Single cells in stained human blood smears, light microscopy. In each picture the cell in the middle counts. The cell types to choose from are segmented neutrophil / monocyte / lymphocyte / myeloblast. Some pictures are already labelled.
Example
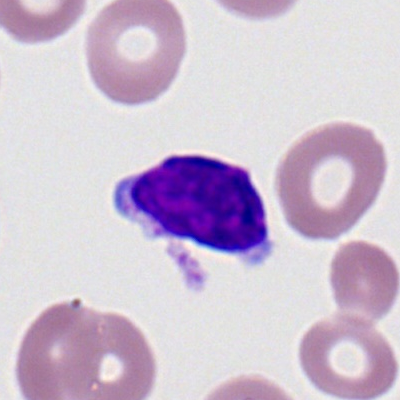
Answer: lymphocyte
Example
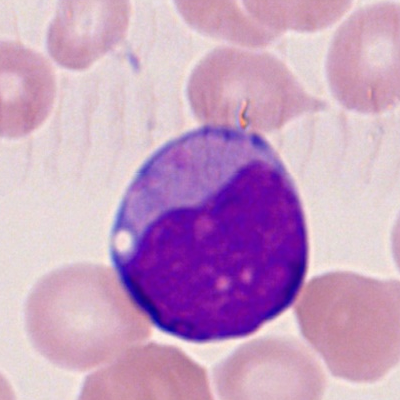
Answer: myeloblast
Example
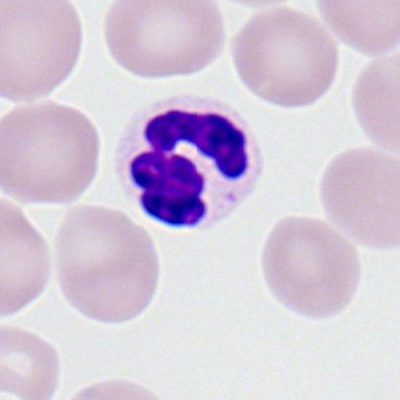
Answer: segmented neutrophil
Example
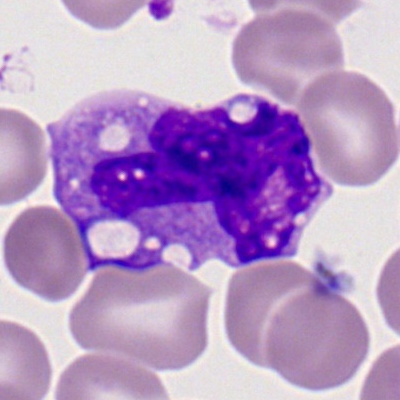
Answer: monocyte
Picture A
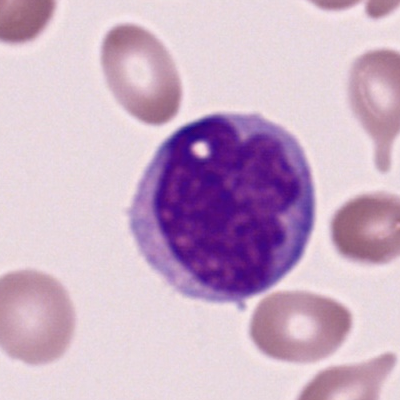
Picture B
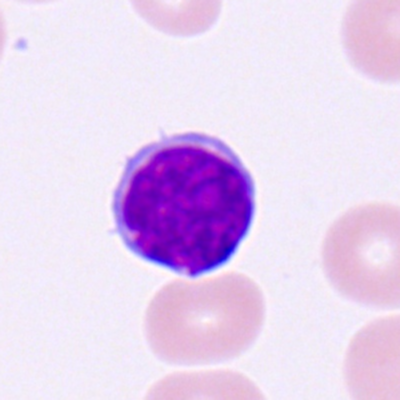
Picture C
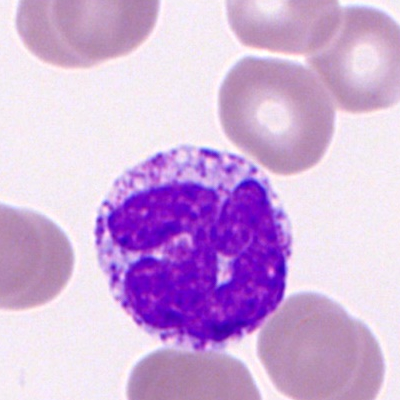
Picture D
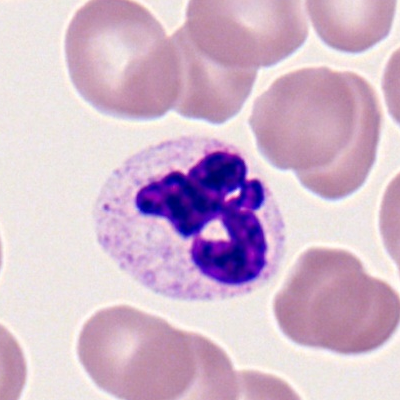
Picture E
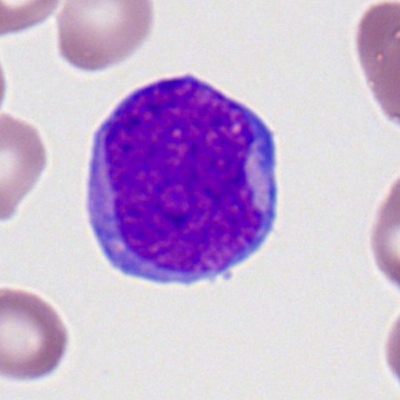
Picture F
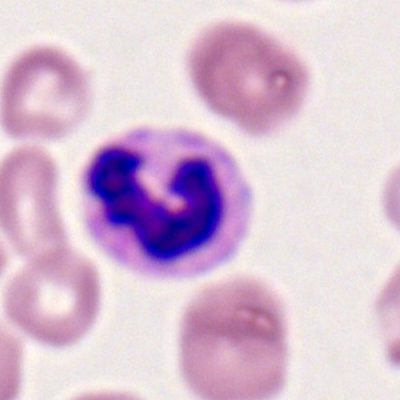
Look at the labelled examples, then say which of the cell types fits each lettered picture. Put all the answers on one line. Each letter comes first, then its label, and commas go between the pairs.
A monocyte, B lymphocyte, C monocyte, D segmented neutrophil, E myeloblast, F segmented neutrophil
